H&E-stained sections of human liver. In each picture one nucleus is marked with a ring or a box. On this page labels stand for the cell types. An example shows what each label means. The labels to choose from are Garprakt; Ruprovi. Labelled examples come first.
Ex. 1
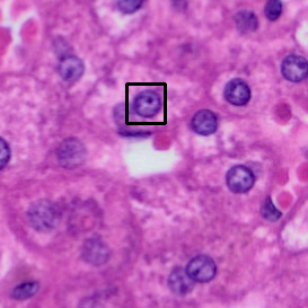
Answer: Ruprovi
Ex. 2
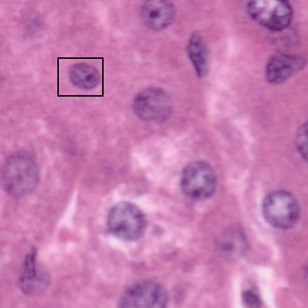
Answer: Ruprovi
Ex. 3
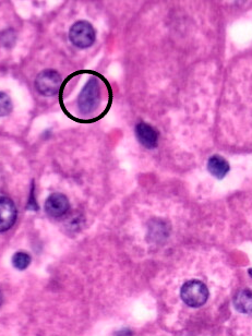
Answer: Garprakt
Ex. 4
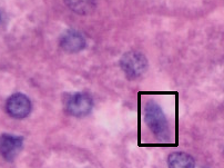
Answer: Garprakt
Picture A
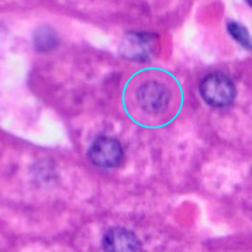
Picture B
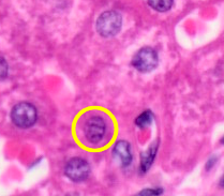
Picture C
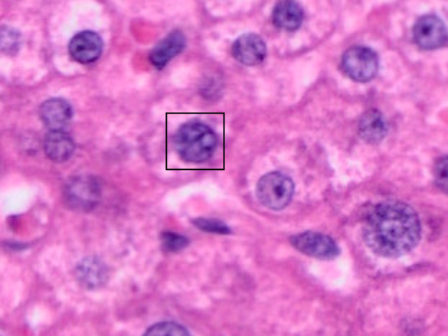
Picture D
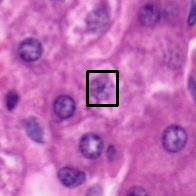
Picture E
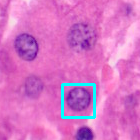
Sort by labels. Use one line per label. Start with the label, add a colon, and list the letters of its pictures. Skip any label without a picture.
Ruprovi: A, B, C, D, E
